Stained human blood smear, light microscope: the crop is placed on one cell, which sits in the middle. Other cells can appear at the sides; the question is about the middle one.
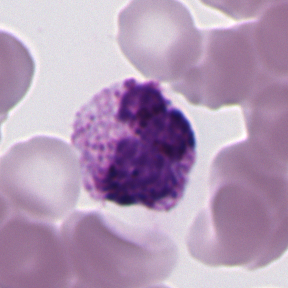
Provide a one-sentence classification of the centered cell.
The centrally located cell in the crop is a basophil.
